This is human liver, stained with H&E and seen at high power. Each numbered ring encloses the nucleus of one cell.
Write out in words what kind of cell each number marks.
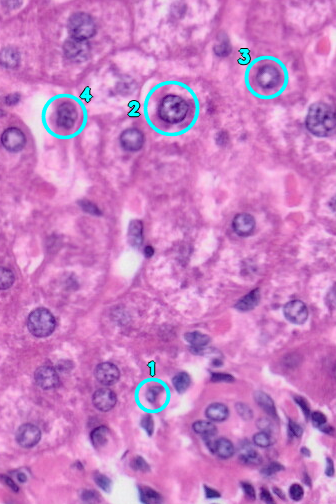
Cell 1 is a fibroblast or stellate cell, cell 2 is a hepatocyte, cell 3 is a hepatocyte and cell 4 is a Kupffer cell.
